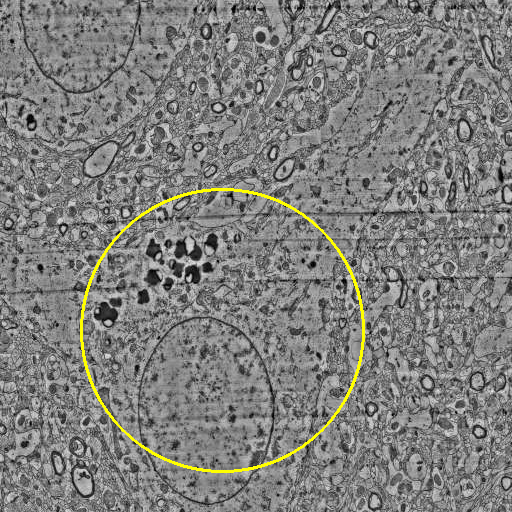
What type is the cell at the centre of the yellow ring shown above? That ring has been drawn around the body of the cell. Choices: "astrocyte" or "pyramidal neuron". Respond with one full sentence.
My answer is that a pyramidal neuron lies at the centre of the yellow ring above.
